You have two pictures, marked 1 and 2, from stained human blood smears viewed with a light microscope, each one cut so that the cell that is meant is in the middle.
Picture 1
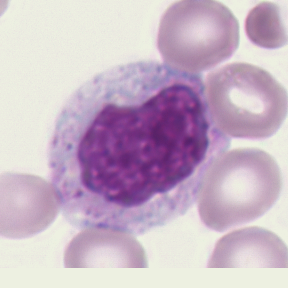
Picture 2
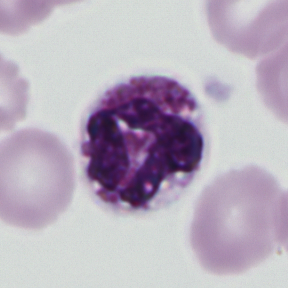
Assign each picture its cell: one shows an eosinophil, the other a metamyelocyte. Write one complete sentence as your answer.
Picture 2 shows an eosinophil, while picture 1 shows a metamyelocyte.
